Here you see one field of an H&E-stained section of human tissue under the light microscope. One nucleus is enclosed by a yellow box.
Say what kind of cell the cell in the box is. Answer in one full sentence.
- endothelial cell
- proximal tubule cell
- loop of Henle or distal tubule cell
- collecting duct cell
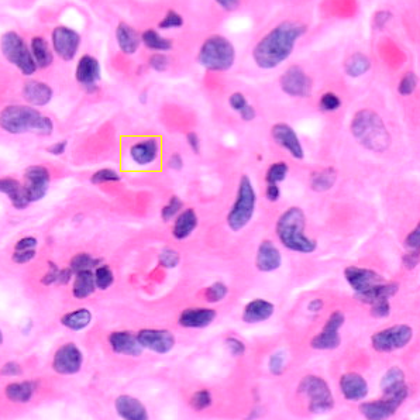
It is as an endothelial cell that the cell in the box is recorded.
